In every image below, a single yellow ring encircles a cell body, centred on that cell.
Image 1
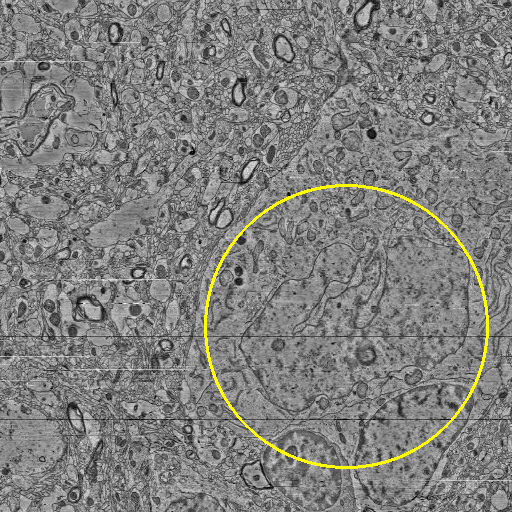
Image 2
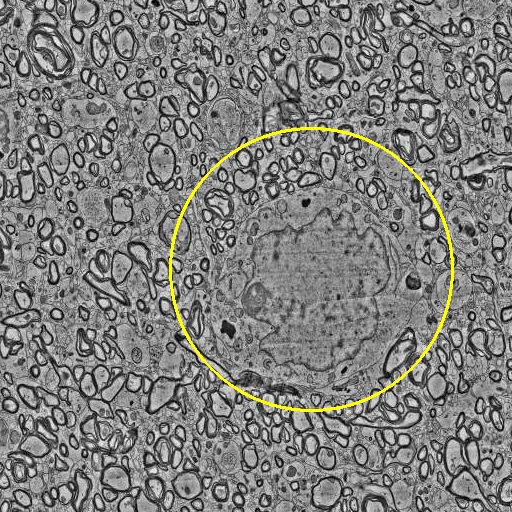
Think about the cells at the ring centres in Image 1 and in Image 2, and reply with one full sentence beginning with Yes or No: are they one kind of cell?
Yes, the cells centred in the rings of Image 1 and Image 2 are one kind of cell.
